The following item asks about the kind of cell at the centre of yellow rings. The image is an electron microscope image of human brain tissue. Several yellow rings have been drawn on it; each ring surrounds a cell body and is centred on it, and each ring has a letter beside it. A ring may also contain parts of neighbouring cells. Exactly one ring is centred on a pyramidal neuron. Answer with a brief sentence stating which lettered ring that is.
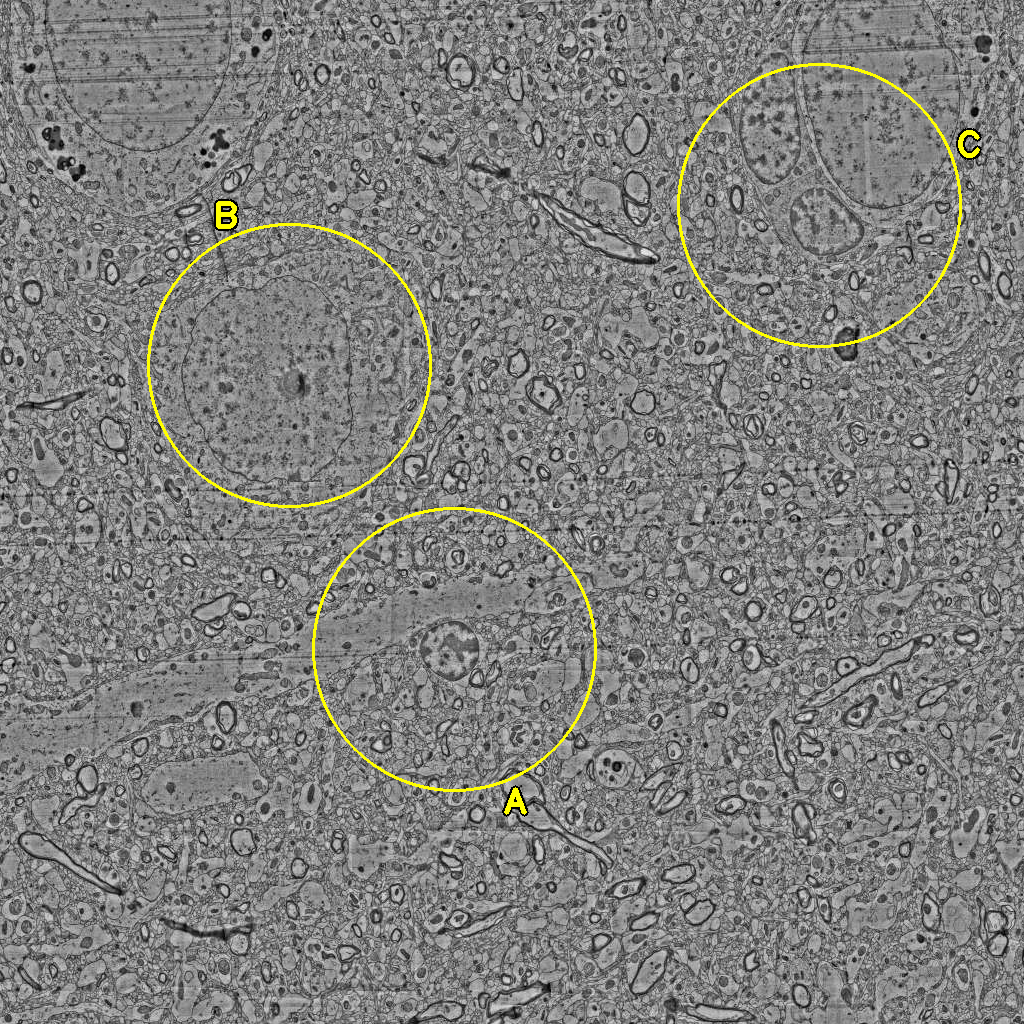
That is ring B.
